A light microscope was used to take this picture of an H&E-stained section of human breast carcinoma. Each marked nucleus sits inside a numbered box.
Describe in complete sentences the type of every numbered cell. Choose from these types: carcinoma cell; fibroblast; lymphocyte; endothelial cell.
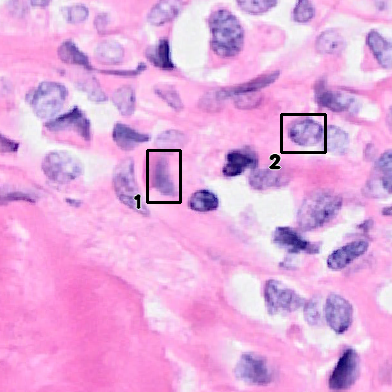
Cell 1 is an endothelial cell. Cell 2 is a carcinoma cell.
